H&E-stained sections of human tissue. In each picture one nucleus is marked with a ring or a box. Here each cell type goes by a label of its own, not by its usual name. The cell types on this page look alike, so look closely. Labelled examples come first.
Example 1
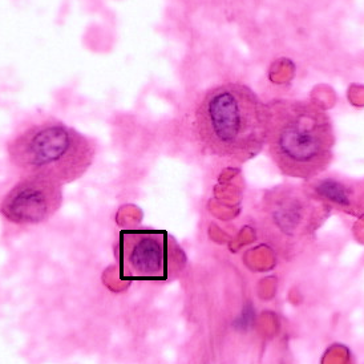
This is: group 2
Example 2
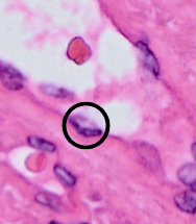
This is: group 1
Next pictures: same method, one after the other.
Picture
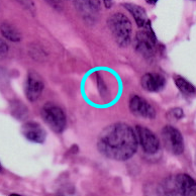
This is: group 1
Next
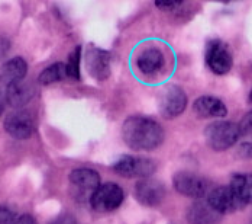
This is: group 2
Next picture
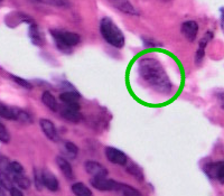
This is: group 2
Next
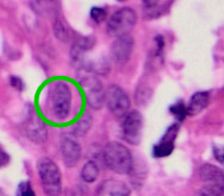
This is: group 2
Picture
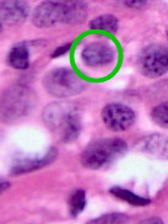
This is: group 2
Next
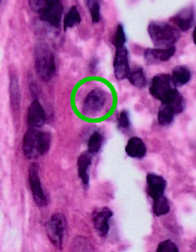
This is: group 2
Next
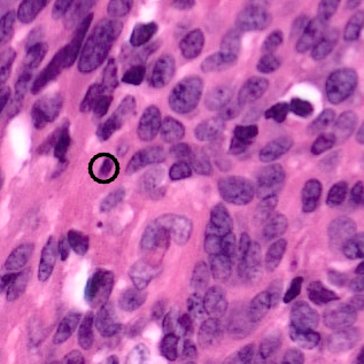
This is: group 1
